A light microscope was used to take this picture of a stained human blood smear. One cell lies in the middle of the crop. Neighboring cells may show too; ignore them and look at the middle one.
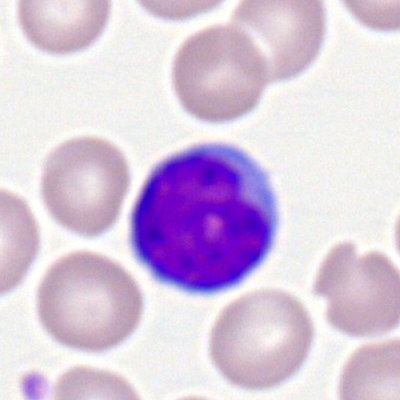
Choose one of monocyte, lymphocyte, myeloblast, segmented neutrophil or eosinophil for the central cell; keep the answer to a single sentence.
Classified as a lymphocyte is the cell in the middle of this crop.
